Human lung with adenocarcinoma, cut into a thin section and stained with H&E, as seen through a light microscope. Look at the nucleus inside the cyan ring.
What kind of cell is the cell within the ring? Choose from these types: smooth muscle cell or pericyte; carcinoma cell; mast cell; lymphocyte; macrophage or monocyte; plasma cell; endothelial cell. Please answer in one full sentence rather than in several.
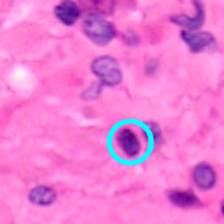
In this field of tissue, the cell within the ring is a mast cell.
